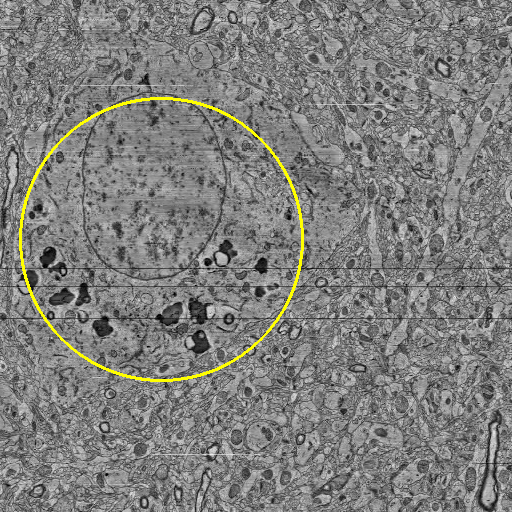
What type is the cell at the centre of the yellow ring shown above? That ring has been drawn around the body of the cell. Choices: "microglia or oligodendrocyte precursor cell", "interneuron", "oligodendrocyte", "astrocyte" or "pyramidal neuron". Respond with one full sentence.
My answer is that a pyramidal neuron lies at the centre of the yellow ring above.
